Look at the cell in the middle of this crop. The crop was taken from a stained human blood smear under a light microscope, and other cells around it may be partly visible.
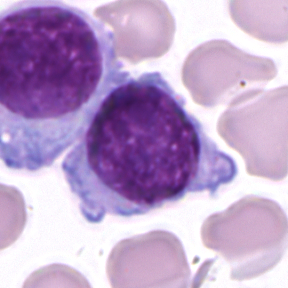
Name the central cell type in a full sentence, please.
The cell shown in the center of this light-microscope crop is a plasma cell.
